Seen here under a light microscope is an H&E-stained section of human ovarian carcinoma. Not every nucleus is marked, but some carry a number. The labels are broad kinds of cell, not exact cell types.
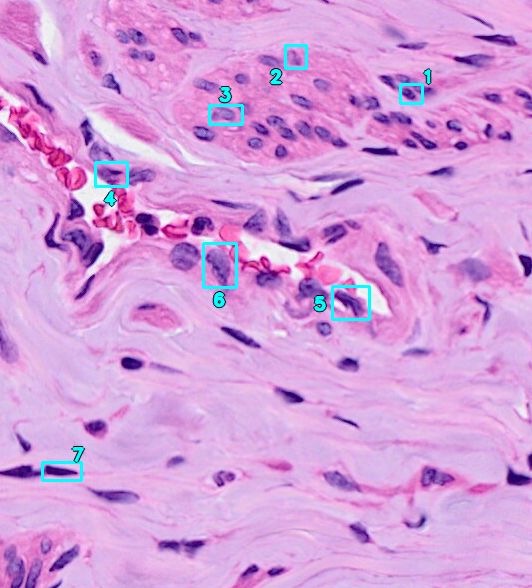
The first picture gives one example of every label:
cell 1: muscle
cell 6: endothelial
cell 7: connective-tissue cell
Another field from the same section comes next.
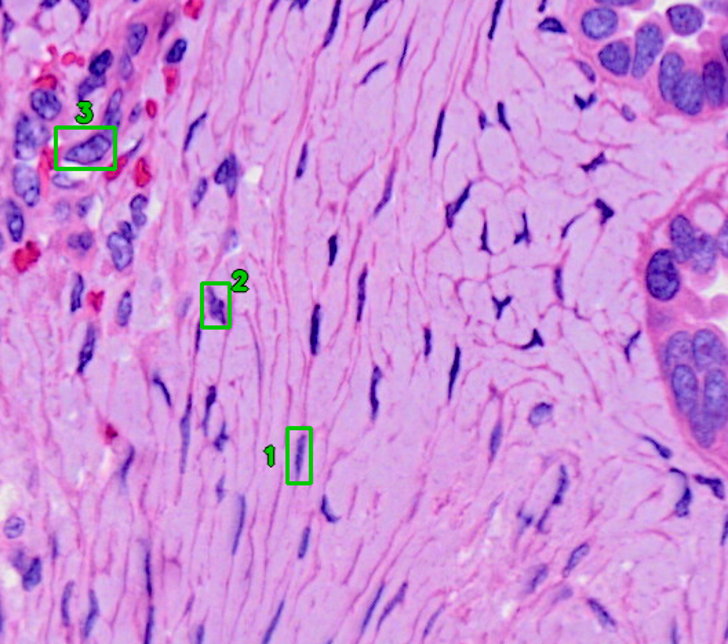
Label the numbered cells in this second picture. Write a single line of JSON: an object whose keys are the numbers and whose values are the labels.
{"1": "connective-tissue cell", "2": "connective-tissue cell", "3": "endothelial"}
